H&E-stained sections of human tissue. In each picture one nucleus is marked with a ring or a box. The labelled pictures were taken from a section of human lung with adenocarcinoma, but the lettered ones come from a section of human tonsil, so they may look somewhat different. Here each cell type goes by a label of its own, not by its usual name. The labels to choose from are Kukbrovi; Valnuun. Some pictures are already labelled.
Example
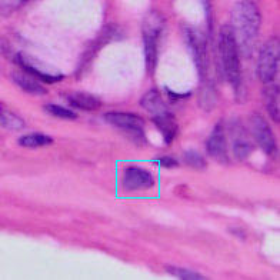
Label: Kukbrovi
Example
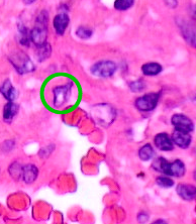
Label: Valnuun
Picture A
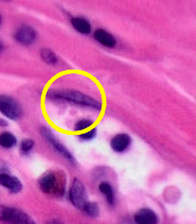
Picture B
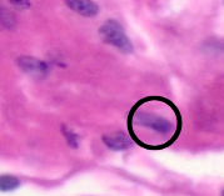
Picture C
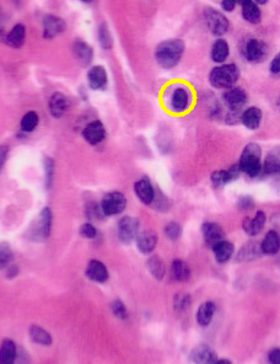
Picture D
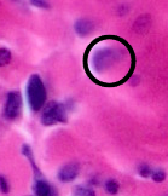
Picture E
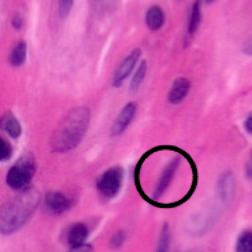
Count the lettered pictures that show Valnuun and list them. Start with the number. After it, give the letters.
4: A, B, D, E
